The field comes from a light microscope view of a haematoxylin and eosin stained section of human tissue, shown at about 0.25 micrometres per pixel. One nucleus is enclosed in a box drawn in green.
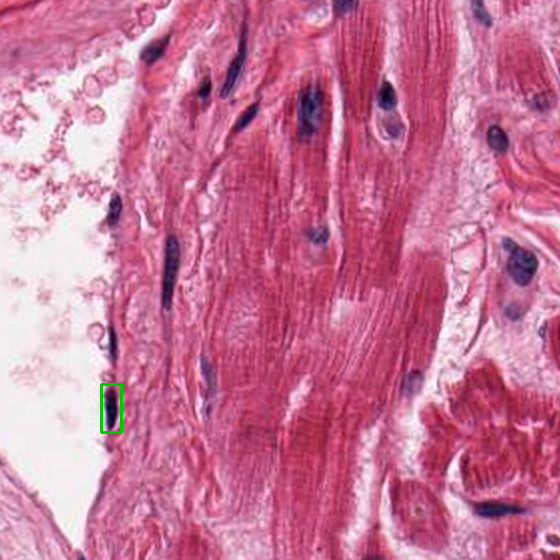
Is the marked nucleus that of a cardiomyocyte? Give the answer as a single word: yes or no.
no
